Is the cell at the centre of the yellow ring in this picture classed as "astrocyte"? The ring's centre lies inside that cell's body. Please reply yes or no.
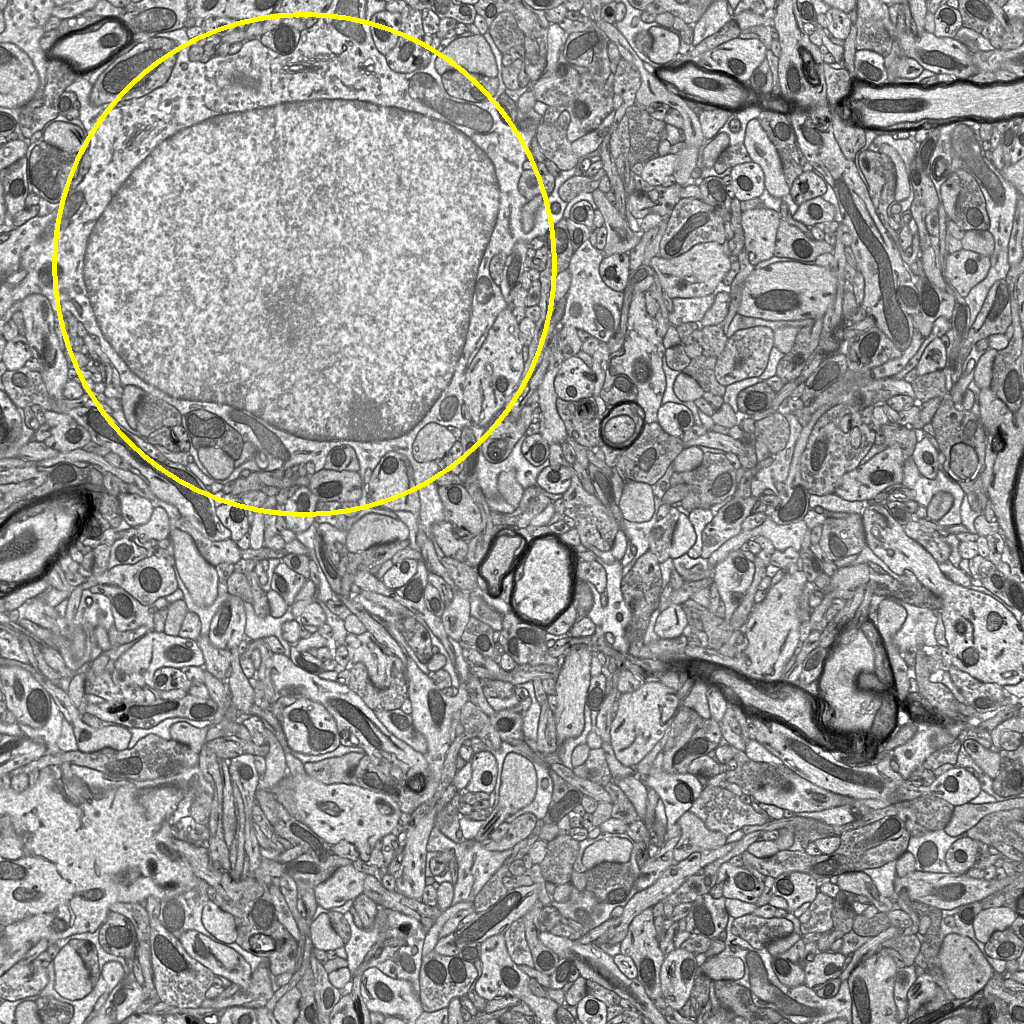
Yes, it is of that kind.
